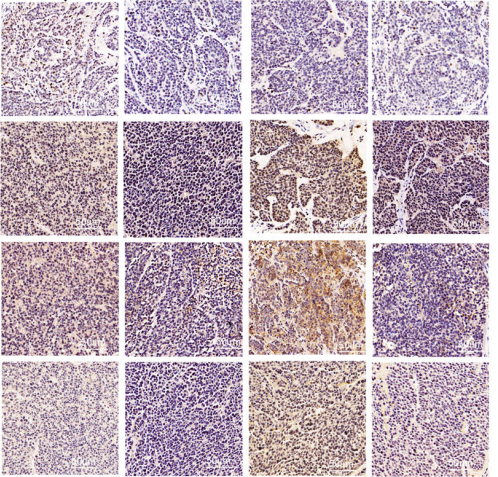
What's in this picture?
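These are sections of solid tumor tissue made of densely packed tumor cells arranged in sheets and nests. The cells have small, round to oval nuclei that are stained blue and crowd closely together, with only scant cytoplasm between them. Thin strands of paler stroma run between some of the cell nests. The brown stain differs in strength from tile to tile: some show diffuse brown staining across many cells, while others are mostly blue with little brown.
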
